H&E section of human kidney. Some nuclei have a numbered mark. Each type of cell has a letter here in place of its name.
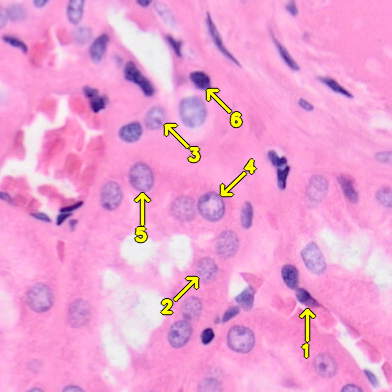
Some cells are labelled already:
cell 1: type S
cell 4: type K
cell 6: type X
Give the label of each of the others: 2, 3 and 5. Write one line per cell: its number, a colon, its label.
2: type K
3: type X
5: type K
